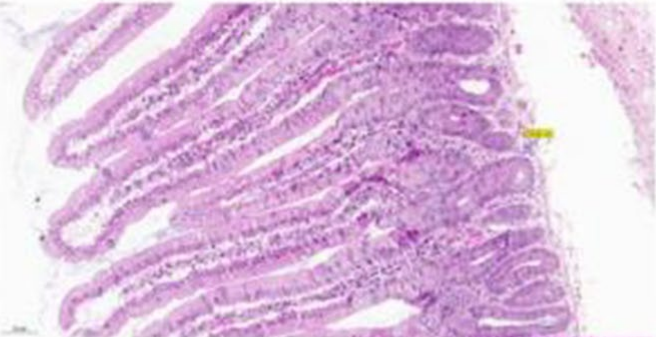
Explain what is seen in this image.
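This section of small intestinal wall shows long, slender villi standing in orderly parallel rows toward the lumen. Each villus is covered by a single layer of tall columnar epithelium with purple nuclei lined up near the base, around a core of loose connective tissue with scattered cells. The lining is continuous and the villi are regular in height and spacing, as in normal mucosa.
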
